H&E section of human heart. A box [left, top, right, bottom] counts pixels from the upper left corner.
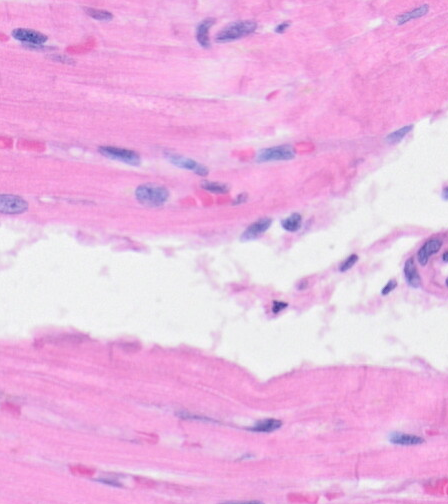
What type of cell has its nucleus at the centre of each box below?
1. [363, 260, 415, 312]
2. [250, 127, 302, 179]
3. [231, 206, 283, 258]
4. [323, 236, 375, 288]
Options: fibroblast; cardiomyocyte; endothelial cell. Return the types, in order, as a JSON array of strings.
["fibroblast", "endothelial cell", "fibroblast", "fibroblast"]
